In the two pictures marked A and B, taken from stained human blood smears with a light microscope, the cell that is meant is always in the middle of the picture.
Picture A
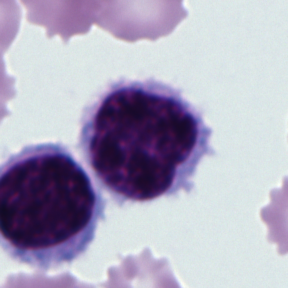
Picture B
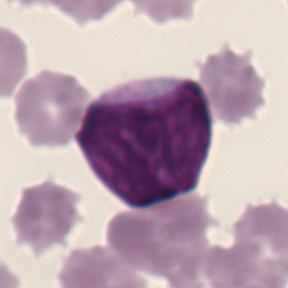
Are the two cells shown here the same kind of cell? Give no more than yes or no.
no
